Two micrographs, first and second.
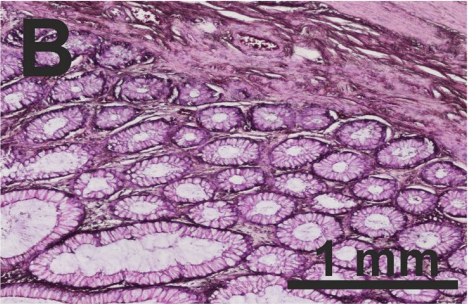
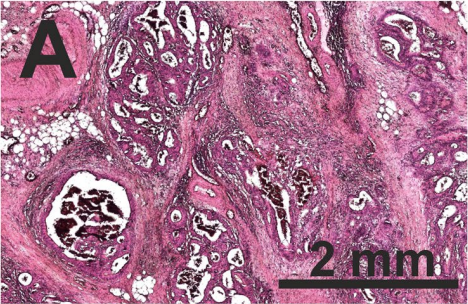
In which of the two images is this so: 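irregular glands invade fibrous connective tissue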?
the second image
